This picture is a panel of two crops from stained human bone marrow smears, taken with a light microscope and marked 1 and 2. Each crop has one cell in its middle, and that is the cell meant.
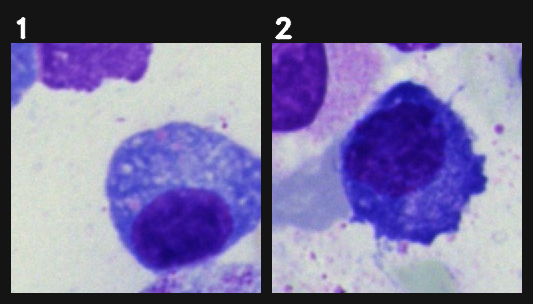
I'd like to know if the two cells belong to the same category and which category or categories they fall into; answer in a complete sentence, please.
Yes, the cells that the two crops centre on are plasma cells.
